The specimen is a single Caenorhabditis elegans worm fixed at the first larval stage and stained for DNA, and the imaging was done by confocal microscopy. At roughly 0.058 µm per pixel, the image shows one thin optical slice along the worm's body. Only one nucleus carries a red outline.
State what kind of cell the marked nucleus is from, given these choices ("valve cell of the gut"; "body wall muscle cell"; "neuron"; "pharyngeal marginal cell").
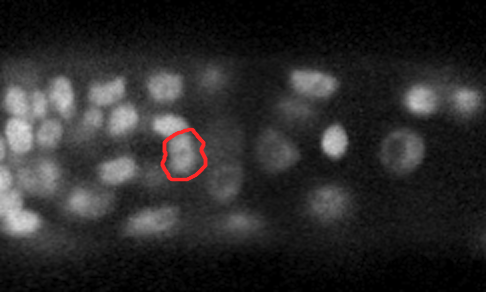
valve cell of the gut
